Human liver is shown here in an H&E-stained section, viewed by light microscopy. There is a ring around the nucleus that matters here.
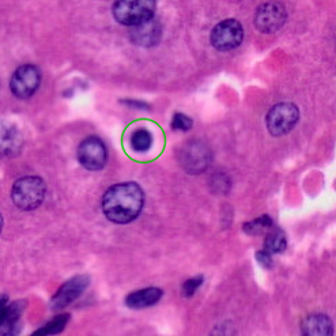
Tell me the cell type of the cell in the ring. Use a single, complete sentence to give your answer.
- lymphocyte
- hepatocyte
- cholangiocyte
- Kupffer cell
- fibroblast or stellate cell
In this tissue section, the cell in the ring is to be classed as a lymphocyte.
